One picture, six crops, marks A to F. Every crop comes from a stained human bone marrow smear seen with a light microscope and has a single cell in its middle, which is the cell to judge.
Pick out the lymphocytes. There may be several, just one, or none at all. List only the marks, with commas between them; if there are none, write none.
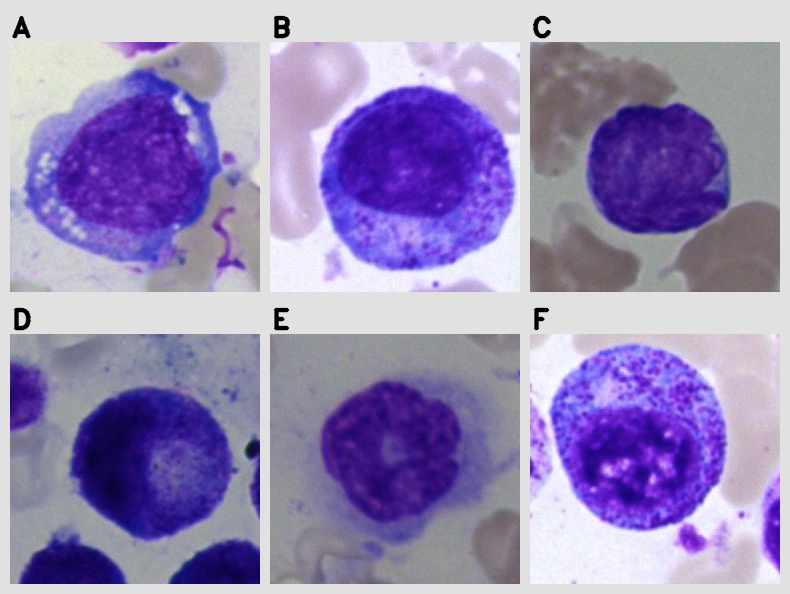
none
